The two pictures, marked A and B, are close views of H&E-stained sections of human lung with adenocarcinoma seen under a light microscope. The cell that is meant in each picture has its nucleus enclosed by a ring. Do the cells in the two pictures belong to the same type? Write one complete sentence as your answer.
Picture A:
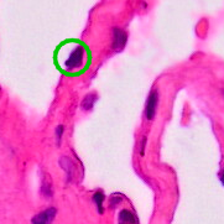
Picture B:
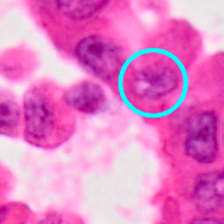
No, picture A shows a type I pneumocyte and picture B shows a carcinoma cell.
